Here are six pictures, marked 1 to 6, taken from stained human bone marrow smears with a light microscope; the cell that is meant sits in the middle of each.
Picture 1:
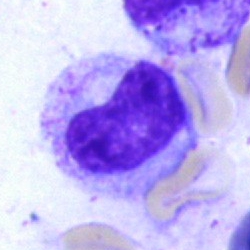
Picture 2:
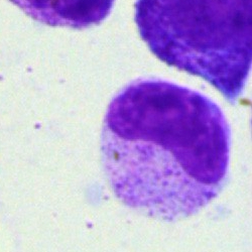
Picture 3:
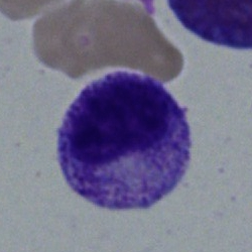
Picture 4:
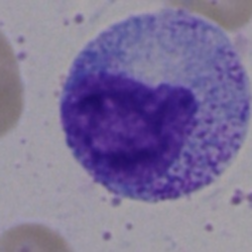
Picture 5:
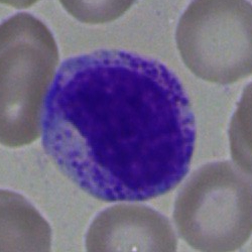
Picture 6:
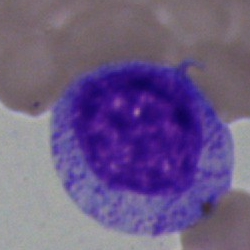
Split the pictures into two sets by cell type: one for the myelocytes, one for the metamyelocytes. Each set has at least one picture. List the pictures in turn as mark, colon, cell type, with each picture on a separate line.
1: metamyelocyte
2: metamyelocyte
3: myelocyte
4: myelocyte
5: myelocyte
6: myelocyte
